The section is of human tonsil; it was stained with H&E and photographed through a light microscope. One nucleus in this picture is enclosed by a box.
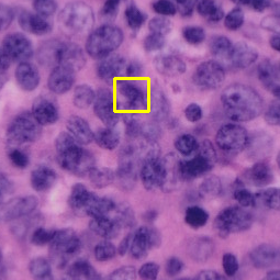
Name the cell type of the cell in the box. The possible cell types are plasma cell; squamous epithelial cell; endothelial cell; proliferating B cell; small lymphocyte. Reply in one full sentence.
Cell type answer for this item: the cell in the box is a proliferating B cell.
